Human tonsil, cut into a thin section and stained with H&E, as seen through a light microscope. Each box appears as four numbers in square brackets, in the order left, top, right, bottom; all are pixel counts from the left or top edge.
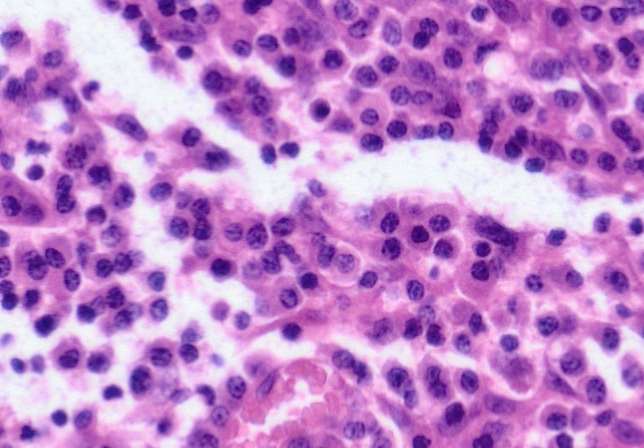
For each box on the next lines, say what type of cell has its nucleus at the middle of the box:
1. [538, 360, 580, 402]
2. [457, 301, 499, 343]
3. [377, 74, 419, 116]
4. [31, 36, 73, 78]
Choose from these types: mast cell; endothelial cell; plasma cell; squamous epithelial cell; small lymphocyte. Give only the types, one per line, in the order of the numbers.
squamous epithelial cell
plasma cell
plasma cell
plasma cell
